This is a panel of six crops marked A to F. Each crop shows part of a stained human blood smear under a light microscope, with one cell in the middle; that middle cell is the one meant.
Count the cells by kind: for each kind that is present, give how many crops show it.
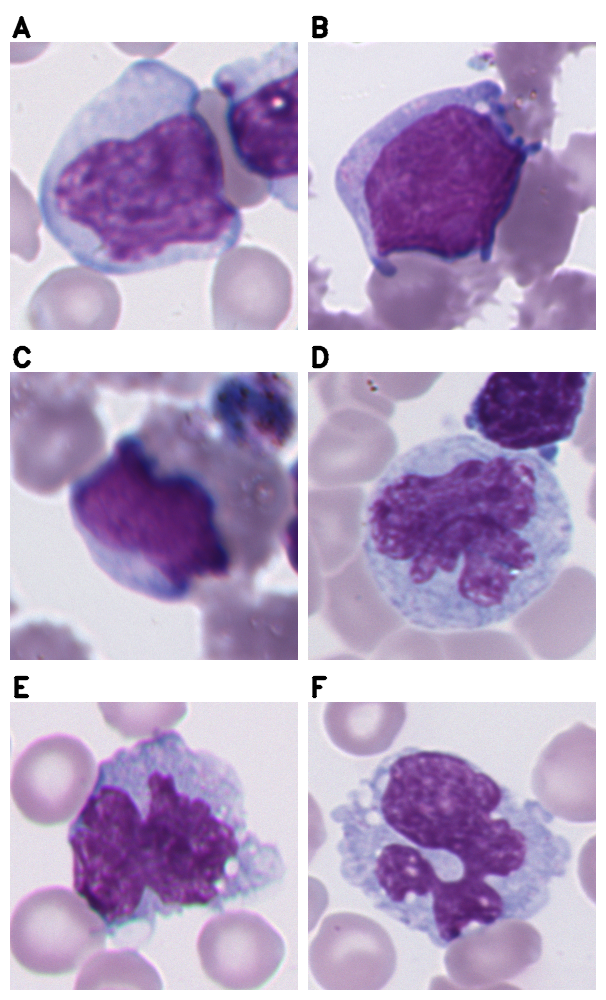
myeloblast: 3
monocyte: 3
